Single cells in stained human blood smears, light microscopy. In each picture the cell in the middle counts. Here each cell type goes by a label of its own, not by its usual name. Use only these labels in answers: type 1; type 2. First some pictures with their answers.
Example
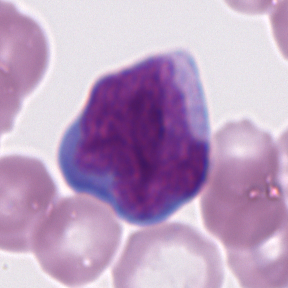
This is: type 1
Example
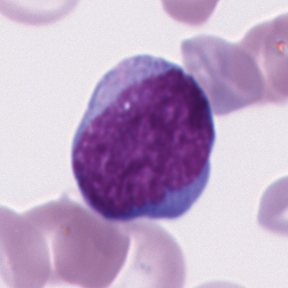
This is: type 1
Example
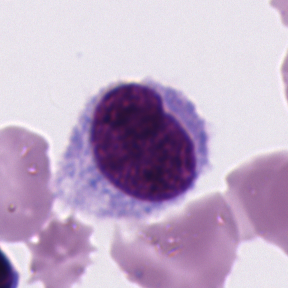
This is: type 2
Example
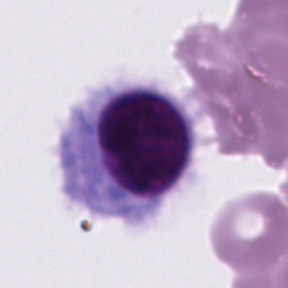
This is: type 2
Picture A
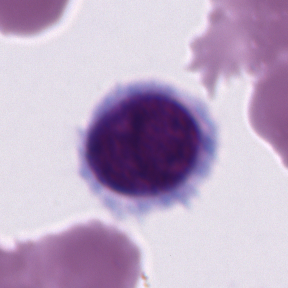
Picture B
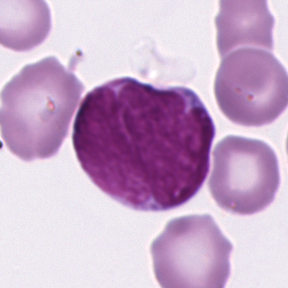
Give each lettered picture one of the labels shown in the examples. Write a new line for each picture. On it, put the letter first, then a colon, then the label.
A: type 2
B: type 1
